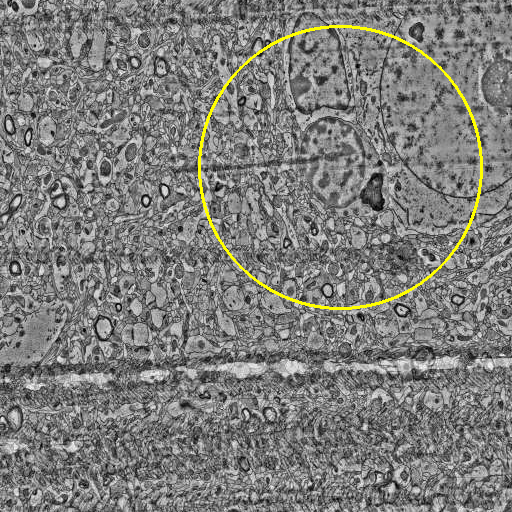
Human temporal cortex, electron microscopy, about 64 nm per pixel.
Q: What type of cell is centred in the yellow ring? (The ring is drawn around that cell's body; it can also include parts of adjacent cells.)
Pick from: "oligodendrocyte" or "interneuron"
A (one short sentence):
The yellow ring is centred on an oligodendrocyte.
